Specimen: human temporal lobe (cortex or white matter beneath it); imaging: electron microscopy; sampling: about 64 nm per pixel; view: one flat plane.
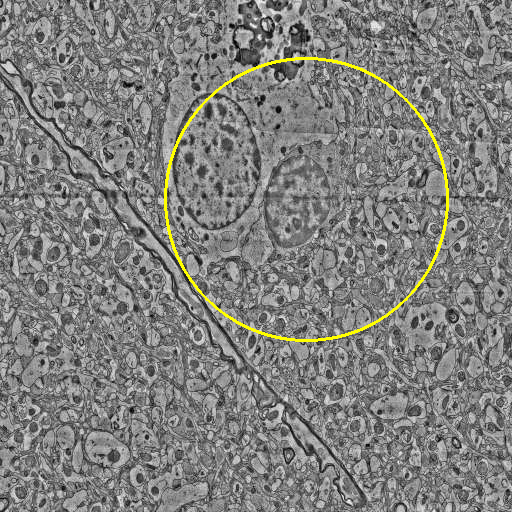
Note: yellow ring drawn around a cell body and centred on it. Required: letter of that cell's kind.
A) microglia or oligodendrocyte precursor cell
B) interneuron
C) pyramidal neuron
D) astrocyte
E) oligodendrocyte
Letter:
E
